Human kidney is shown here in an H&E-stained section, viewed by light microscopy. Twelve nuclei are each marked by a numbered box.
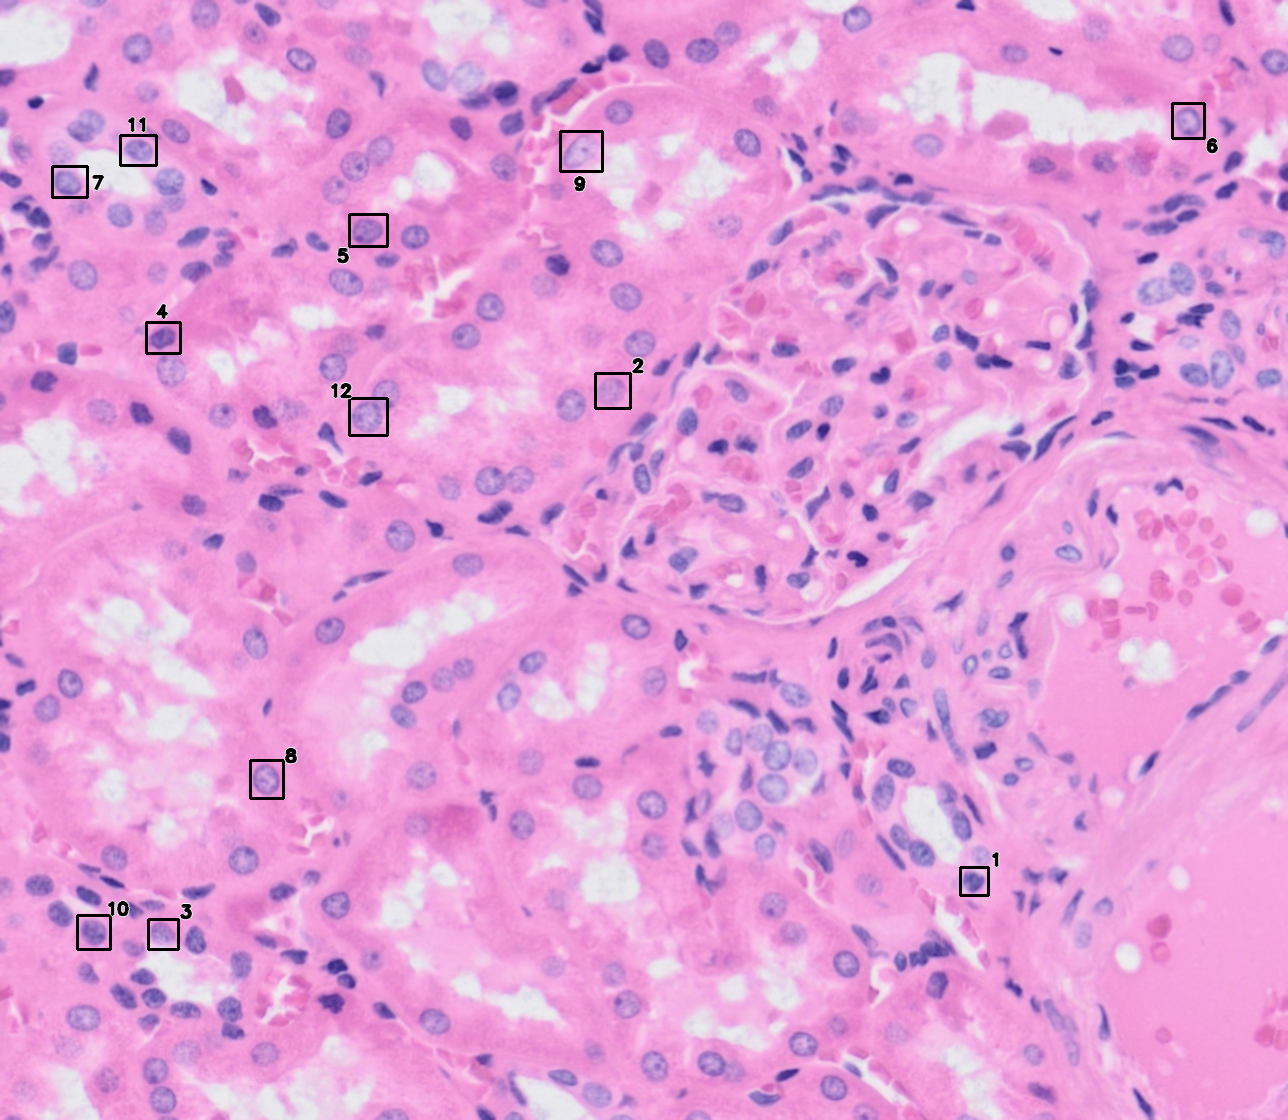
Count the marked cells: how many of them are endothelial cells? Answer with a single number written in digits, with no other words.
0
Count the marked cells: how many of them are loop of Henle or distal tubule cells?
2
